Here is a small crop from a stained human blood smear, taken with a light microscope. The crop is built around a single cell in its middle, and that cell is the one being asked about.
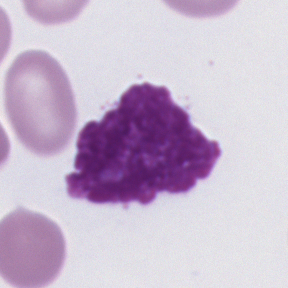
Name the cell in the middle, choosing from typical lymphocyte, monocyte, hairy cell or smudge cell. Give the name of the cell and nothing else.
smudge cell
